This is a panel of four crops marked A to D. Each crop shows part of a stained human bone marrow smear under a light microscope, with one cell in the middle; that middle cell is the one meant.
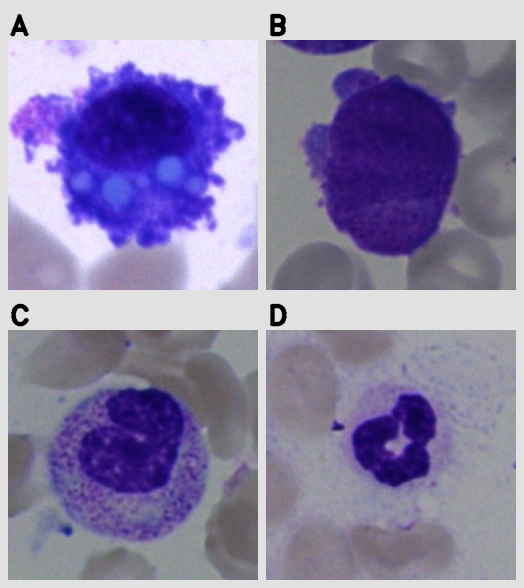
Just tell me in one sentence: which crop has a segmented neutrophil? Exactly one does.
The one crop that shows a segmented neutrophil is crop D.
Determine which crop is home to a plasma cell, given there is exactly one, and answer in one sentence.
Crop A is the correct crop, and it shows a plasma cell.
